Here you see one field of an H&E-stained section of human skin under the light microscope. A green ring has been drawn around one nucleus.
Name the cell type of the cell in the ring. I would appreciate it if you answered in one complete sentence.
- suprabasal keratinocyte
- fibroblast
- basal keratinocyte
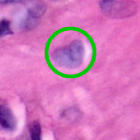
As for its identity, the cell in the ring is a fibroblast.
